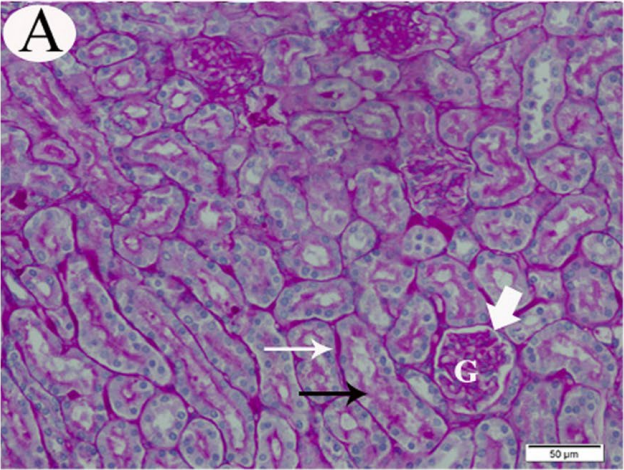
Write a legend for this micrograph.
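This is renal cortex with glomeruli and closely packed tubules lined by cuboidal epithelial cells with round blue nuclei and pale, faintly pink cytoplasm. Magenta staining picks out the capillary tufts of the glomeruli, the walls of Bowman's capsule around them, the thin basement membranes outlining each tubule, and the luminal brush borders of the proximal tubules, while the nuclei stay unstained by the magenta.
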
